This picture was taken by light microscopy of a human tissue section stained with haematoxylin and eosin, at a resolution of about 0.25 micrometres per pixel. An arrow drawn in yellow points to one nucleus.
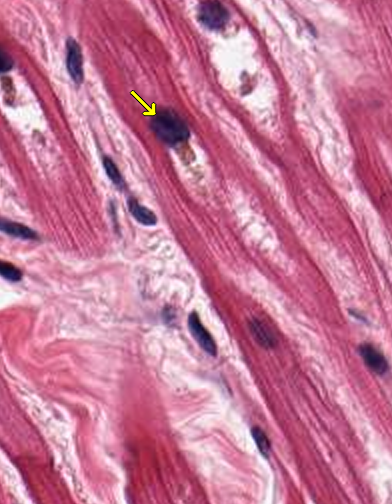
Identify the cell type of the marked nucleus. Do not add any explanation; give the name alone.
cardiomyocyte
